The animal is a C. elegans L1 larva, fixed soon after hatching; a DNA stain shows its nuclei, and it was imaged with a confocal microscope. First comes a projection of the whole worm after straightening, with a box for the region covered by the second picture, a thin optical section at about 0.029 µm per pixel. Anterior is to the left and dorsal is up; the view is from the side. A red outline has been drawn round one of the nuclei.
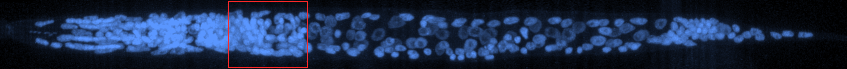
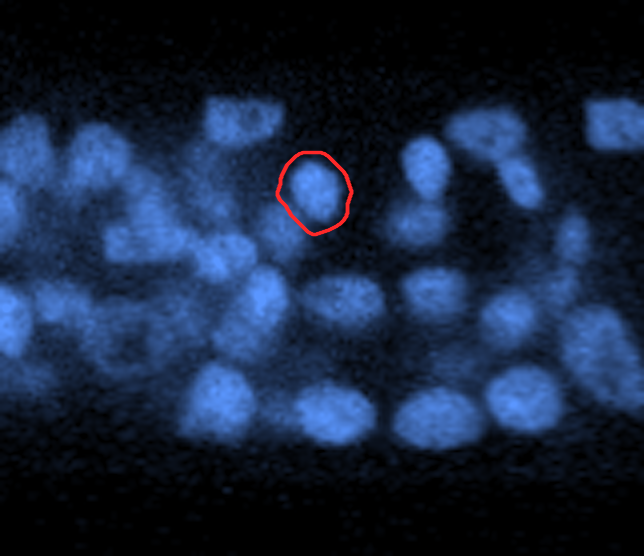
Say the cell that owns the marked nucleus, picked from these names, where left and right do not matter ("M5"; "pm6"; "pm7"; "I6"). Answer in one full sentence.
The marked nucleus is that of I6, a neuron.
